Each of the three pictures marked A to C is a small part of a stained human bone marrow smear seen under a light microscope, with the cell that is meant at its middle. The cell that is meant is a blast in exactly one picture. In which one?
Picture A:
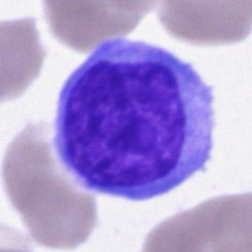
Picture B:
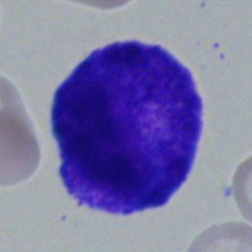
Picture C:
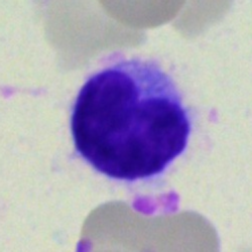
A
